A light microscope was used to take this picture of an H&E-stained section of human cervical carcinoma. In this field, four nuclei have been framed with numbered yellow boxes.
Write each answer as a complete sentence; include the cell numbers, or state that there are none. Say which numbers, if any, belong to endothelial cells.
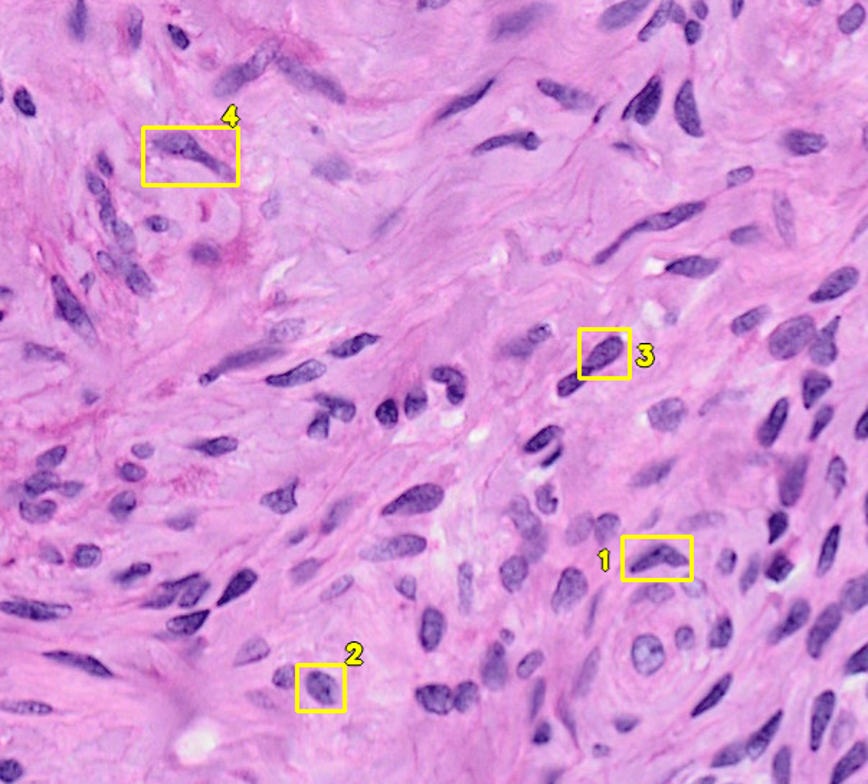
None of the numbered cells is one of the endothelial cells.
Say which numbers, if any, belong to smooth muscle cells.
There is only one numbered cell that is a smooth muscle cell, and it is cell 4.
